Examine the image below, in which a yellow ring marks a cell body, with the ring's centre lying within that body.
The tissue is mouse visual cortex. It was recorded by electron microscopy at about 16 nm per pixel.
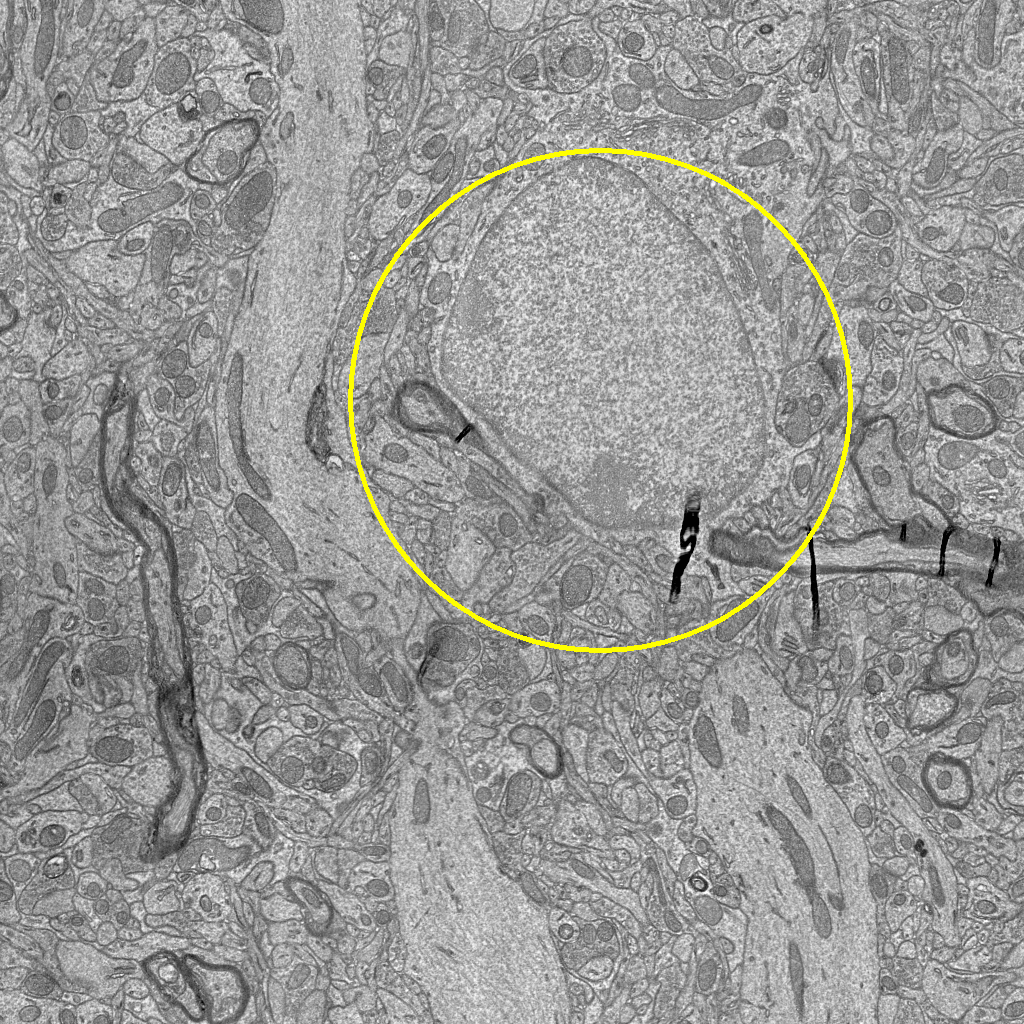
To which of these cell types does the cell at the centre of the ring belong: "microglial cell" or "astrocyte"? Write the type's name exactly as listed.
astrocyte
